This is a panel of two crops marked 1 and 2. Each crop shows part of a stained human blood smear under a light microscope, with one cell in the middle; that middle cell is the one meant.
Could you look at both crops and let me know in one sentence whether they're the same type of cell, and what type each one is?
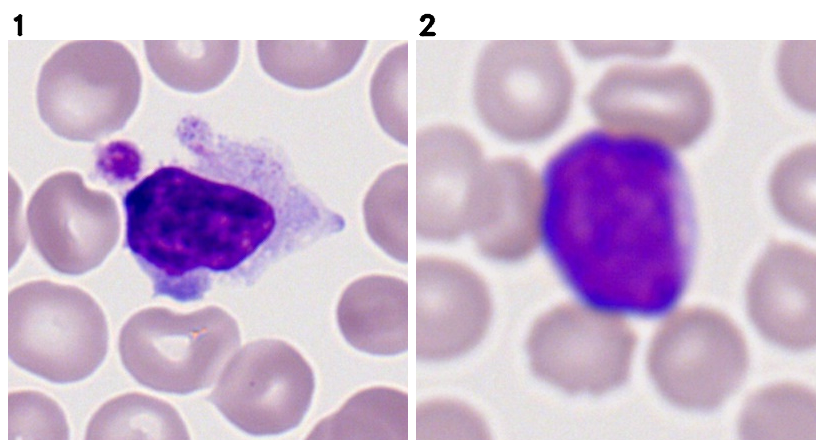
No, crop 2 shows a myeloblast, and crop 1 shows a lymphocyte.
